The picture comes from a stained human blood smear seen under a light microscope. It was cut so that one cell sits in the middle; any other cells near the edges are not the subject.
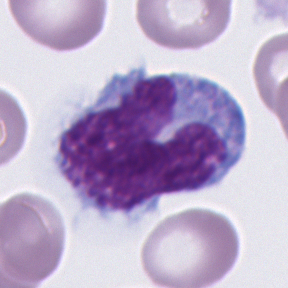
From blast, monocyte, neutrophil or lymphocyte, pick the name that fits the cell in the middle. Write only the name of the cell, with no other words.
monocyte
